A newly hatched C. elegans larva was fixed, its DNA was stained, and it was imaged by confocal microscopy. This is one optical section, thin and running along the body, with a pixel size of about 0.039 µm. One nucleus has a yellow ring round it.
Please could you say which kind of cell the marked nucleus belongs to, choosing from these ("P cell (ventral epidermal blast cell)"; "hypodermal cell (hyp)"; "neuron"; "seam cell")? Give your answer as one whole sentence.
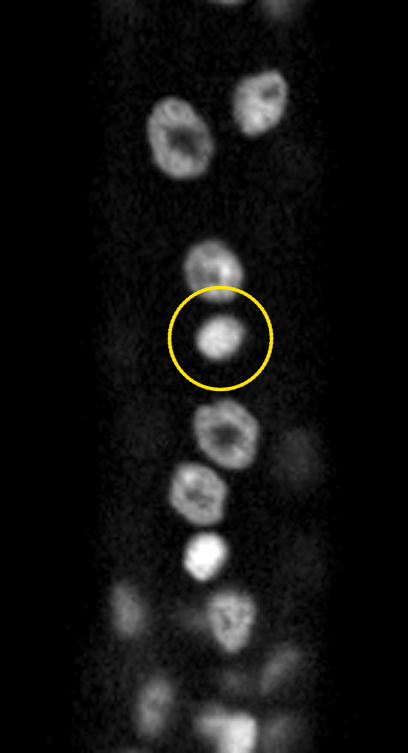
What is marked is the nucleus of a neuron.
